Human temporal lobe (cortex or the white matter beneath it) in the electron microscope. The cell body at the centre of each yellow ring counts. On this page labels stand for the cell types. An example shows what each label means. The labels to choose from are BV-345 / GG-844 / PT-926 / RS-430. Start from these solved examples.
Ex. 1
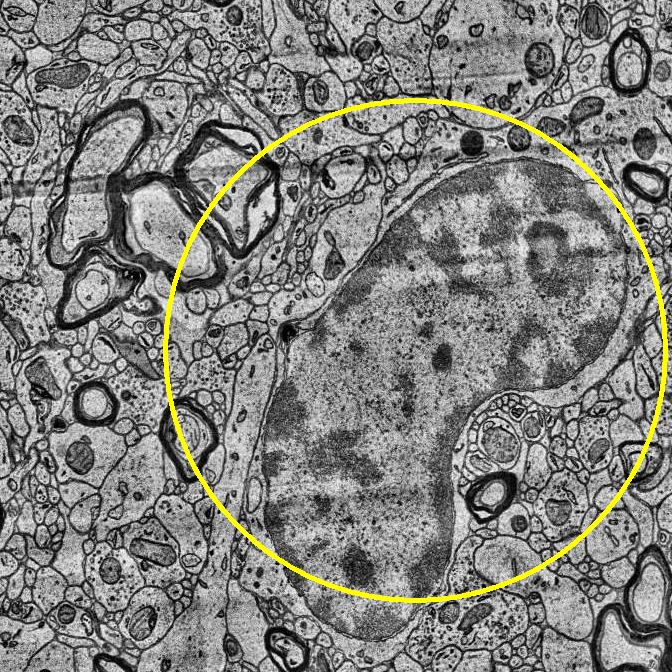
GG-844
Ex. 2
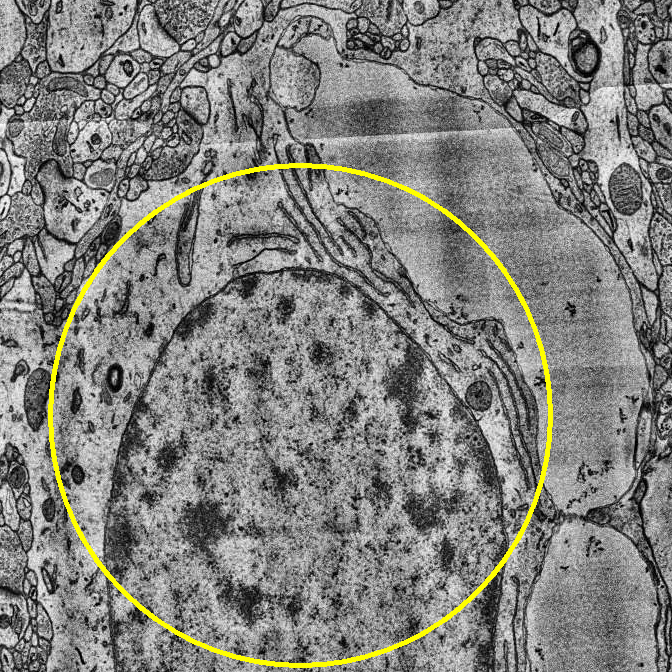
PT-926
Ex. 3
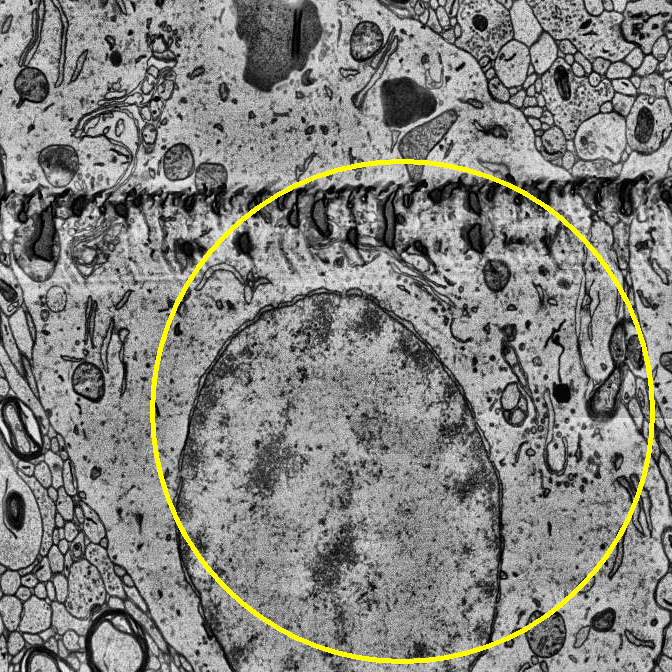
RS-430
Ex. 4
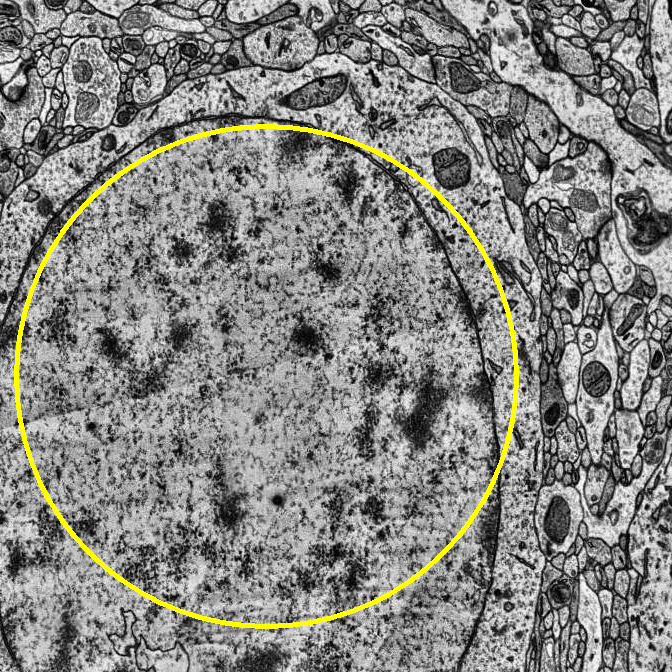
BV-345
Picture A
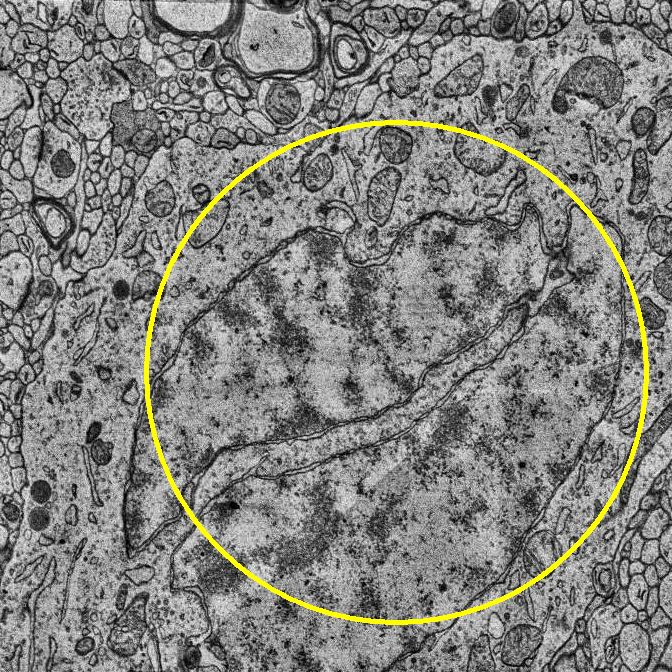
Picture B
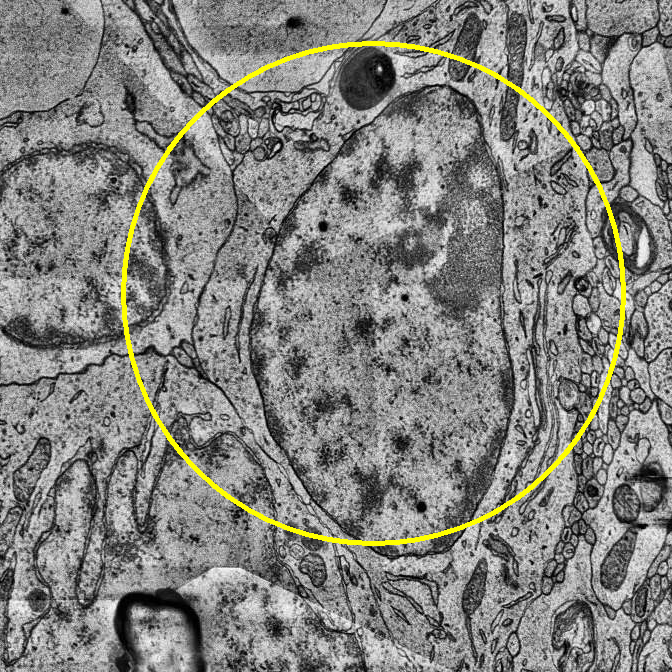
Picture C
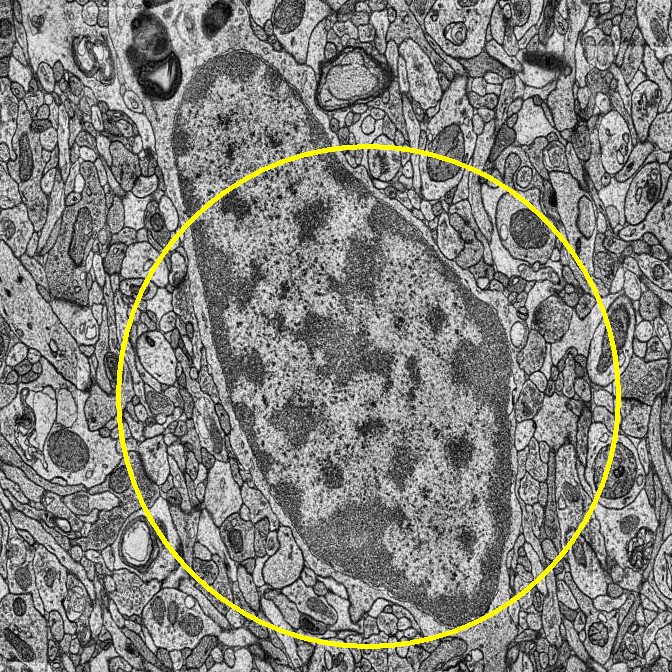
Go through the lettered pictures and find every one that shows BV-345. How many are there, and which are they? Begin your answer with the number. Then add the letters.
0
